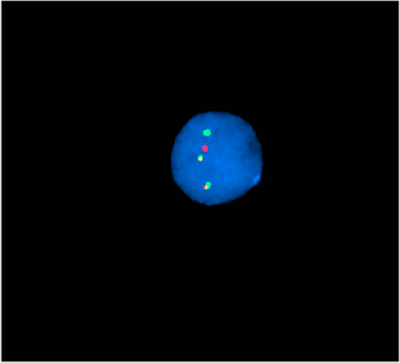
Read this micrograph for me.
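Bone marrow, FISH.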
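Only its nucleus is visible. It is a rounded, slightly irregular blue disc, evenly counterstained, with no cytoplasm to be made out around it. Scattered inside the blue nucleus are a few small, bright, sharply bounded dots. Some are green, one is red, and others are yellow, where red and green seem to lie on top of each other.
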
